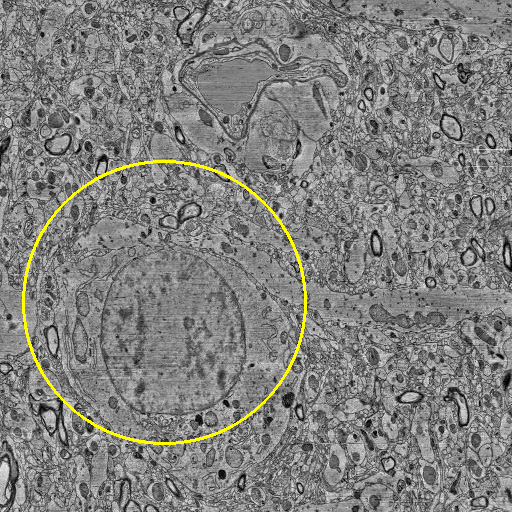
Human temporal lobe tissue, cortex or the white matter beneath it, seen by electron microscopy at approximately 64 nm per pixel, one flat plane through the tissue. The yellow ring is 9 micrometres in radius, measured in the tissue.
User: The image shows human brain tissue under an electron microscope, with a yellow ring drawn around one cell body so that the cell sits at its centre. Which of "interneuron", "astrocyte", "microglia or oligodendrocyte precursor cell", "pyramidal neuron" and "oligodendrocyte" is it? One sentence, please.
At the centre of the ring sits an interneuron.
